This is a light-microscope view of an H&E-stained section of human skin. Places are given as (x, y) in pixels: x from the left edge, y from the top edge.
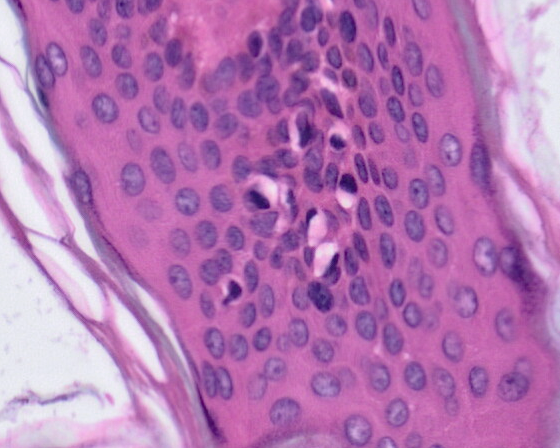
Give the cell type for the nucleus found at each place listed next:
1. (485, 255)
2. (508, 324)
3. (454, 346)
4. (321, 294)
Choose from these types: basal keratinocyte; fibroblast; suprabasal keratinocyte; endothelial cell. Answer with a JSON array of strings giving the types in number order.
["suprabasal keratinocyte", "suprabasal keratinocyte", "suprabasal keratinocyte", "basal keratinocyte"]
